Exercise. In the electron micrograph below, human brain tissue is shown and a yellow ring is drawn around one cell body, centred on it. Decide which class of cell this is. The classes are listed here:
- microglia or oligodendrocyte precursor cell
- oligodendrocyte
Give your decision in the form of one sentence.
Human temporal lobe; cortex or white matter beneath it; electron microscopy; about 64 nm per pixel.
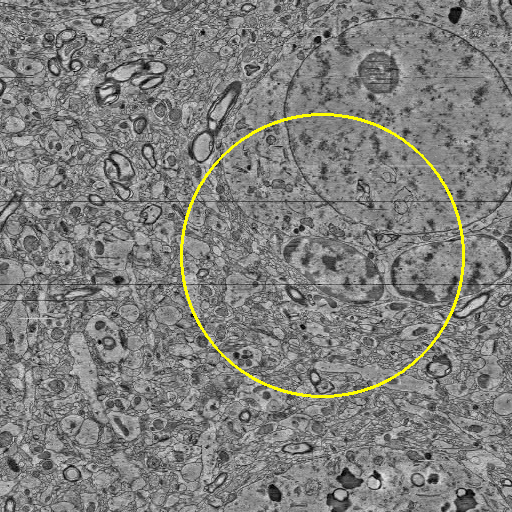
The cell body marked by the ring belongs to a microglial cell or oligodendrocyte precursor cell.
